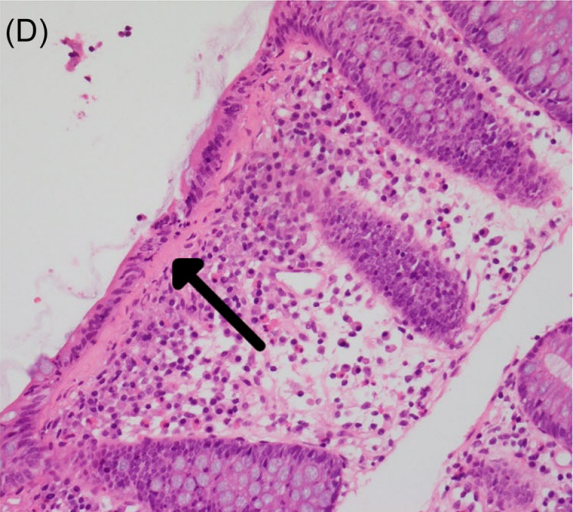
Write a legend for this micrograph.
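Colonic mucosa with straight crypts lined by columnar epithelium rich in goblet cells, their clear mucin vacuoles giving the crypts a bubbly look. The surface is covered by a single layer of columnar cells. Directly beneath the surface epithelium lies a thickened, pale pink, homogeneous band of subepithelial collagen. The lamina propria between the crypts is densely filled with inflammatory cells, many of them round cells with dark, eccentrically placed nuclei and pink cytoplasm, consistent with plasma cells, scattered in a loose pale stroma. Some mucus strands lie free in the lumen above the surface.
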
